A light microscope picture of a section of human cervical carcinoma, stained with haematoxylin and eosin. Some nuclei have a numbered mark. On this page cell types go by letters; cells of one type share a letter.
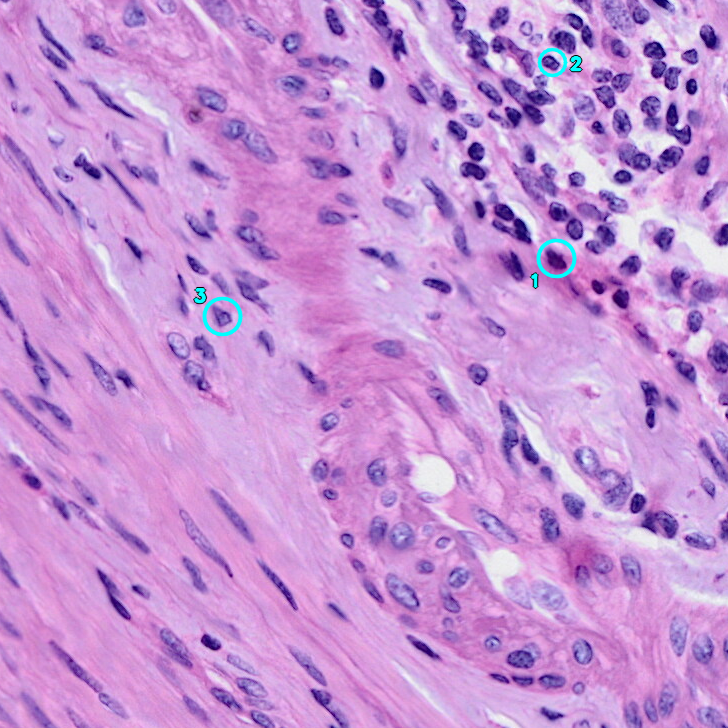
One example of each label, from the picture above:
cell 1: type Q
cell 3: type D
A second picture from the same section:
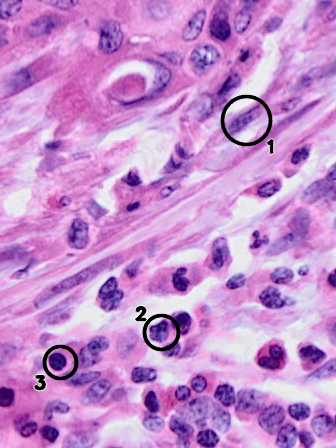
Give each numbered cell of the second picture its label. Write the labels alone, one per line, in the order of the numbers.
type D
type Q
type Q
